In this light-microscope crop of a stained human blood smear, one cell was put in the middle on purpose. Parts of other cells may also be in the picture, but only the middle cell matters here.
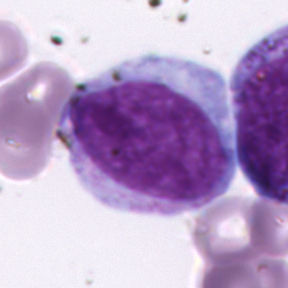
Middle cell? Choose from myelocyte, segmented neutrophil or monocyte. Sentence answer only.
The cell in the middle of the field of view is a myelocyte.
